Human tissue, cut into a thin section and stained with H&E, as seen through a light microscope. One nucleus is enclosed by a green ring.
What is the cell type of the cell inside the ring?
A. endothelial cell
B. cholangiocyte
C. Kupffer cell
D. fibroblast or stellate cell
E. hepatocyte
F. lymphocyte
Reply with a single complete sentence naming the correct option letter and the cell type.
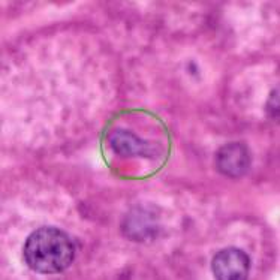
Option C holds, since the cell inside the ring is a Kupffer cell.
